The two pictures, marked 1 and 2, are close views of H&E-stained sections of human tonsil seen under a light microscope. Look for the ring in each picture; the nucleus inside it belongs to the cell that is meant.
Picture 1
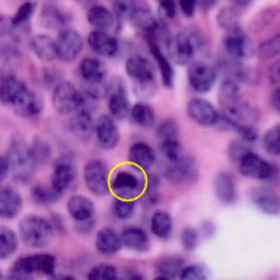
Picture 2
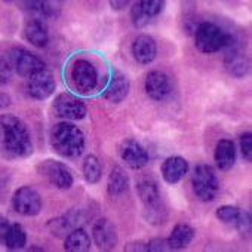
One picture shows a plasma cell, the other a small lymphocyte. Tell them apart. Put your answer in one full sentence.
In picture 1 the cell is a small lymphocyte; in picture 2, a plasma cell.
